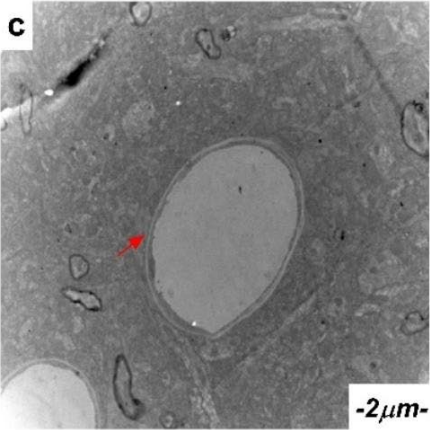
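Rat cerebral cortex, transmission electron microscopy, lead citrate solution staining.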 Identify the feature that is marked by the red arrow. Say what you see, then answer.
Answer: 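The arrow points to the thin wall of a large oval lumen filled with pale homogeneous material. The lumen is surrounded by dense neuropil. The answer: microvessels.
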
